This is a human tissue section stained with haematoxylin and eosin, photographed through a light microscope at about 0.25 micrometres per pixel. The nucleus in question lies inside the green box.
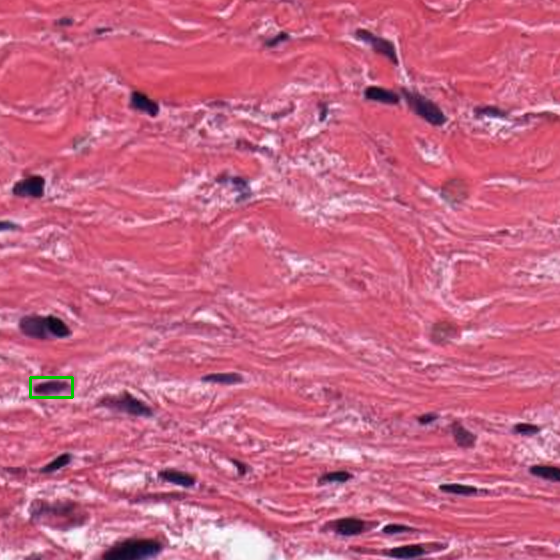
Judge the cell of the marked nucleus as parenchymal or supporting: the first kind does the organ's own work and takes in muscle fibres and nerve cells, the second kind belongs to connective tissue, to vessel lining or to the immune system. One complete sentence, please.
Designated as that of a supporting cell is the marked nucleus.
